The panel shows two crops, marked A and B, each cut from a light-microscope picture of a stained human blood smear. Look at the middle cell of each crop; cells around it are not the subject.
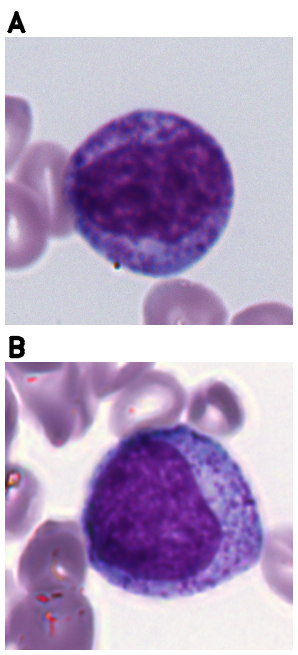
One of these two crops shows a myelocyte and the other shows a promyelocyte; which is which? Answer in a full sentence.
As for the pair, crop A is a myelocyte and crop B is a promyelocyte.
